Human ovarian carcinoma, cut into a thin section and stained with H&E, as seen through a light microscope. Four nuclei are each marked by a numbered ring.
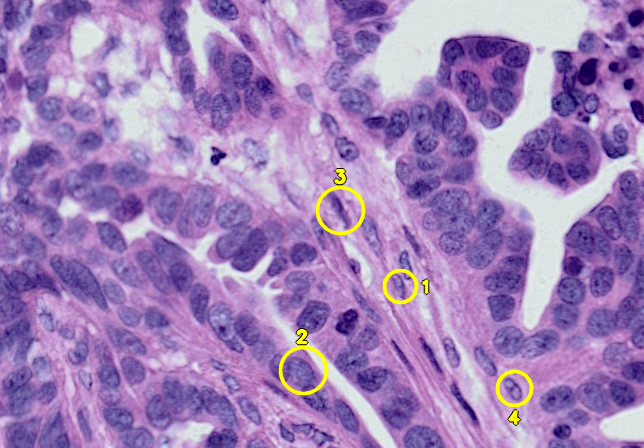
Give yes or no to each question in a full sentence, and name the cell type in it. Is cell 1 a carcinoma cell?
No, calling cell 1 a carcinoma cell is incorrect; it is a fibroblast.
